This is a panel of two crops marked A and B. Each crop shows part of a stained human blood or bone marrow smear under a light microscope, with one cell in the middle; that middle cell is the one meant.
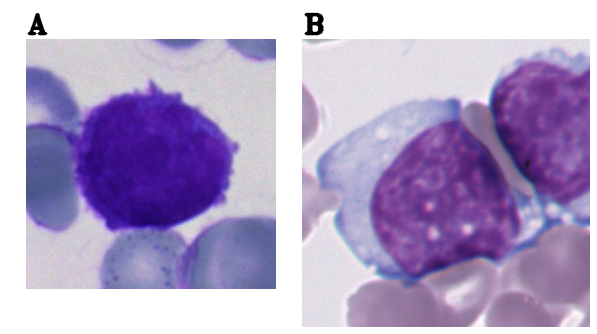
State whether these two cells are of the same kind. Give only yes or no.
yes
